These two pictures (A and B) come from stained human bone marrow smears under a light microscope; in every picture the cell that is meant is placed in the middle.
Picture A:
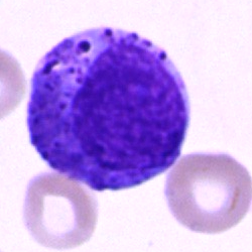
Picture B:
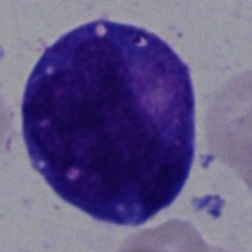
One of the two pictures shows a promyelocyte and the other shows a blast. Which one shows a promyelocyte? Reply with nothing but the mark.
A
